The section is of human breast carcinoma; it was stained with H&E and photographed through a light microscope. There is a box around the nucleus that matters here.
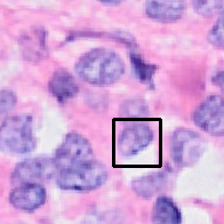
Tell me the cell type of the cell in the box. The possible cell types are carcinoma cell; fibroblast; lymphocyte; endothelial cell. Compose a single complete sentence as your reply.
In the stained section, the cell in the box is a carcinoma cell.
